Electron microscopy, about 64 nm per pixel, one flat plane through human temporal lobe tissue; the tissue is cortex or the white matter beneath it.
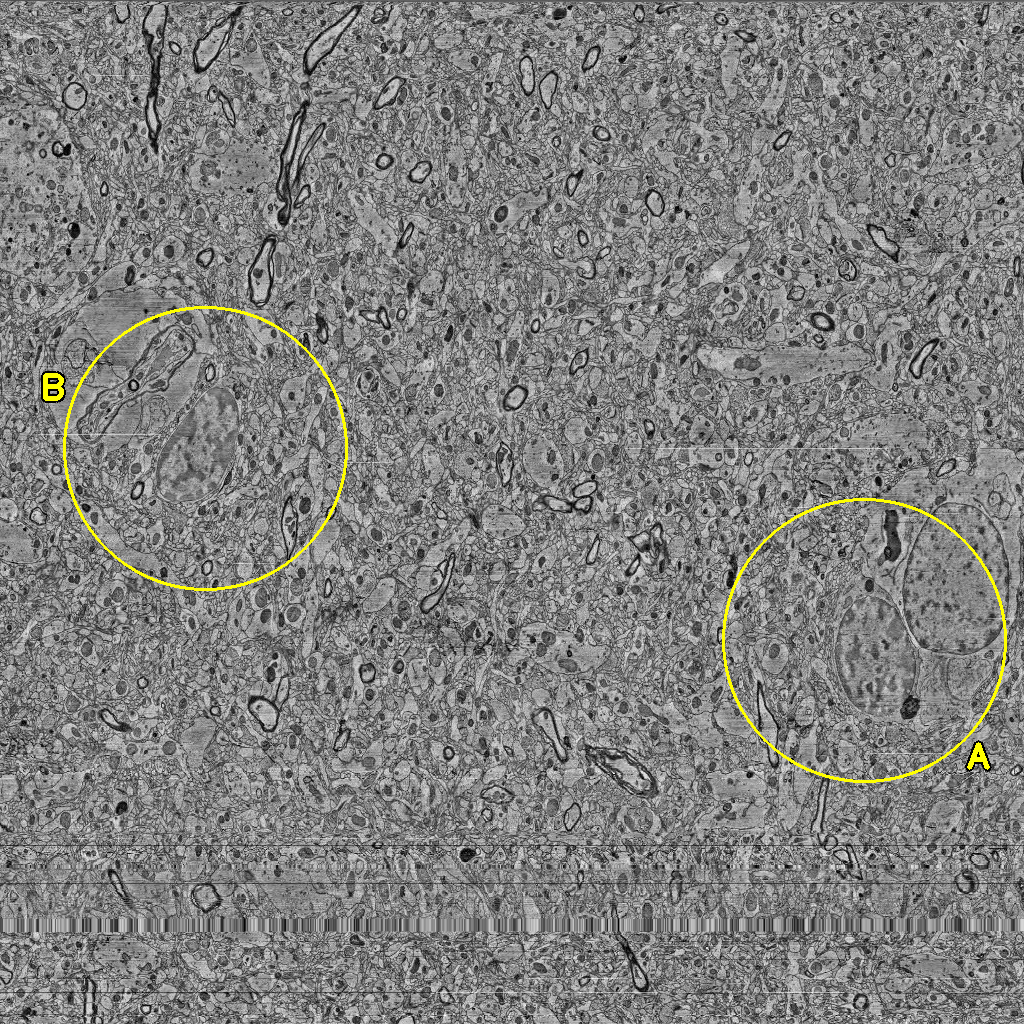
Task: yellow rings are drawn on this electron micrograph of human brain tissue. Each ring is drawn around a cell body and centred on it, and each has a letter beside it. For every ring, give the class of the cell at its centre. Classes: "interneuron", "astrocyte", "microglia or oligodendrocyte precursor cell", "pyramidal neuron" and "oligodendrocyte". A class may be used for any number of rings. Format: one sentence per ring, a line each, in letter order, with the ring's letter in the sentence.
The cell ringed as A is an oligodendrocyte.
The cell ringed as B is a microglial cell or oligodendrocyte precursor cell.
